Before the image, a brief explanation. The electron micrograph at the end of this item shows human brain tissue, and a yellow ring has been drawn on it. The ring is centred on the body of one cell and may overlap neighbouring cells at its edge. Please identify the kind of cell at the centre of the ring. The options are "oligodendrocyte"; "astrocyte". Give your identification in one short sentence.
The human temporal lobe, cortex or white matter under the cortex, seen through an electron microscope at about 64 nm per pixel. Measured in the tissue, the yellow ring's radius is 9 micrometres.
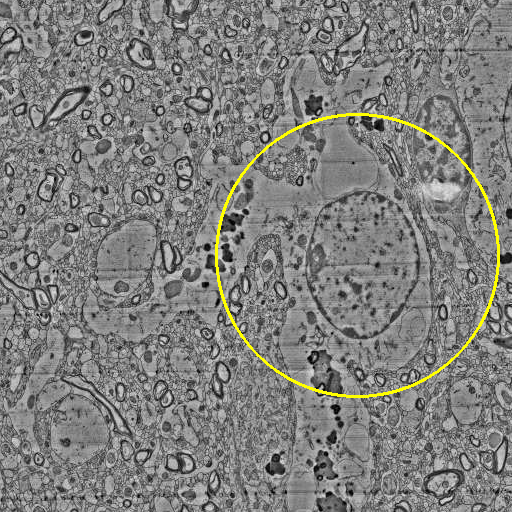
The ring has been placed around an astrocyte.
